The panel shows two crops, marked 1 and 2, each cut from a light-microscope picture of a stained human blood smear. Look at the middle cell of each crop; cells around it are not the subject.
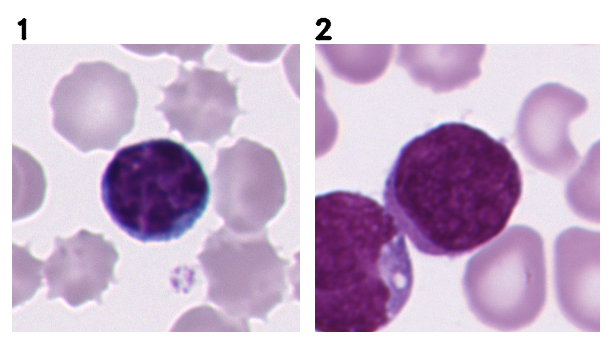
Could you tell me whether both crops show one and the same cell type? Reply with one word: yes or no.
no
